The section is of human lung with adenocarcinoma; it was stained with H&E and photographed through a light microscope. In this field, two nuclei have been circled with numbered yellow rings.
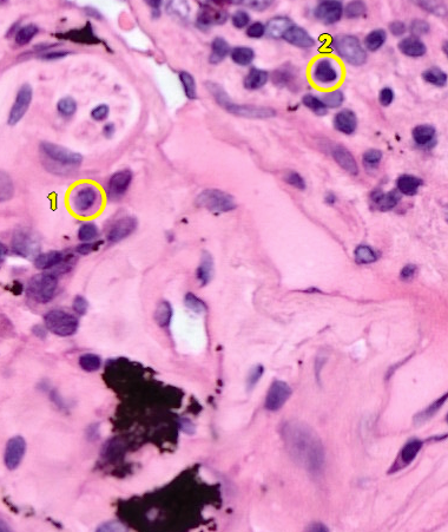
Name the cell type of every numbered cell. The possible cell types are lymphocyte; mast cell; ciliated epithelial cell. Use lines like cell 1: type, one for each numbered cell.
cell 1: mast cell
cell 2: lymphocyte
